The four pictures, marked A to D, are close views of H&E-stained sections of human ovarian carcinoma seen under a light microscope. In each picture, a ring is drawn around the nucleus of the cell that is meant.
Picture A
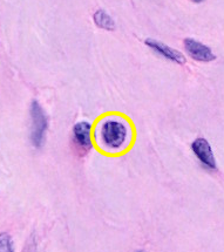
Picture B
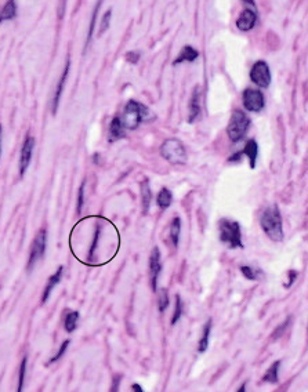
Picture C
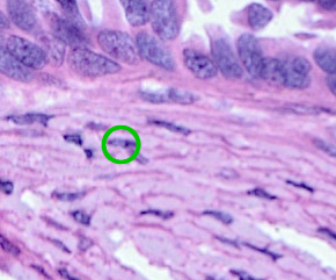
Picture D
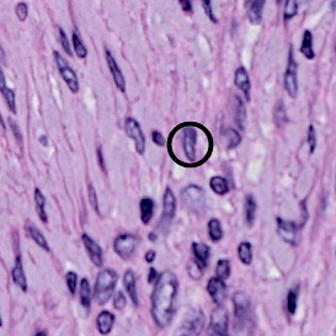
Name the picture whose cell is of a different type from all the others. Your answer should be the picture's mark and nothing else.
A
